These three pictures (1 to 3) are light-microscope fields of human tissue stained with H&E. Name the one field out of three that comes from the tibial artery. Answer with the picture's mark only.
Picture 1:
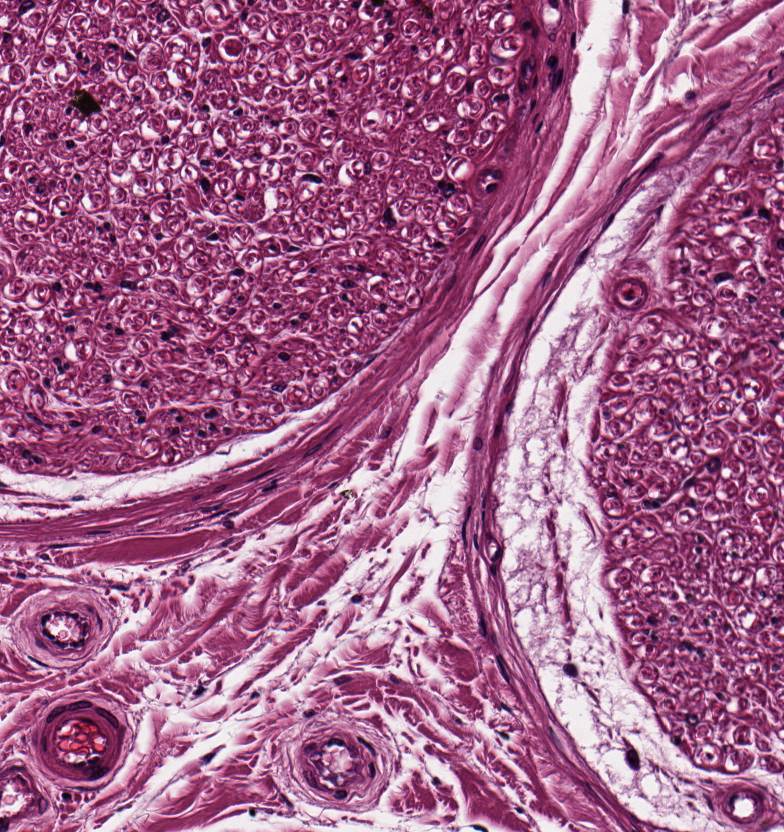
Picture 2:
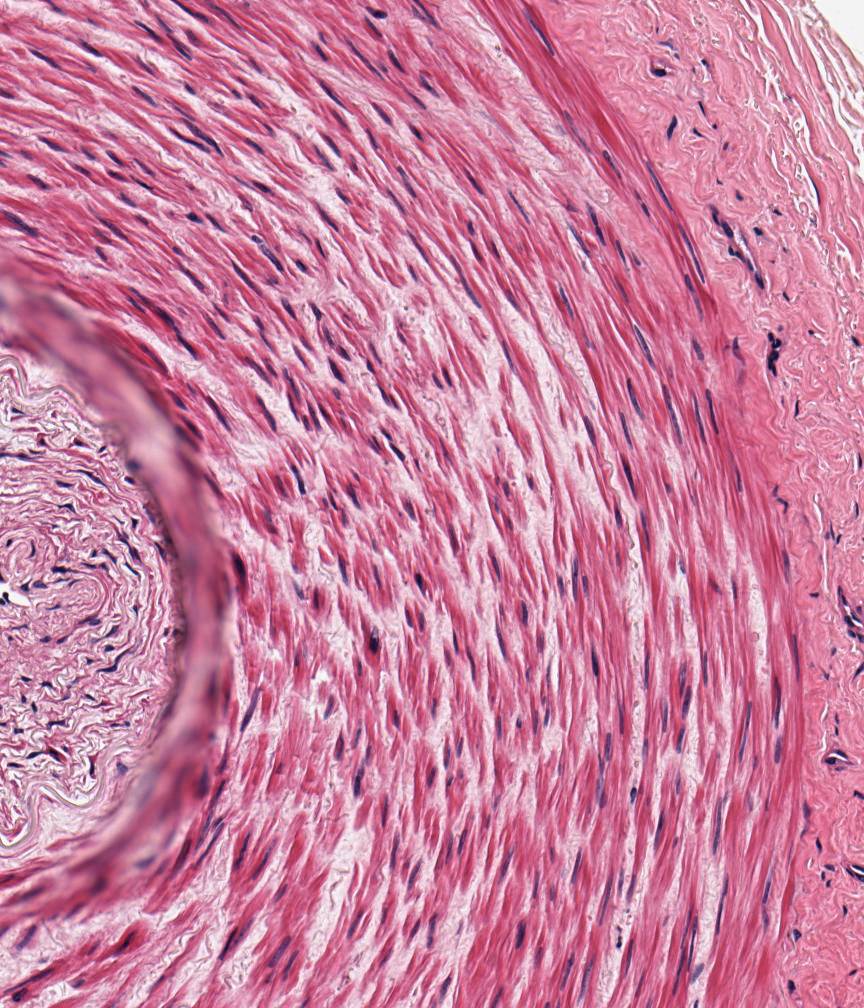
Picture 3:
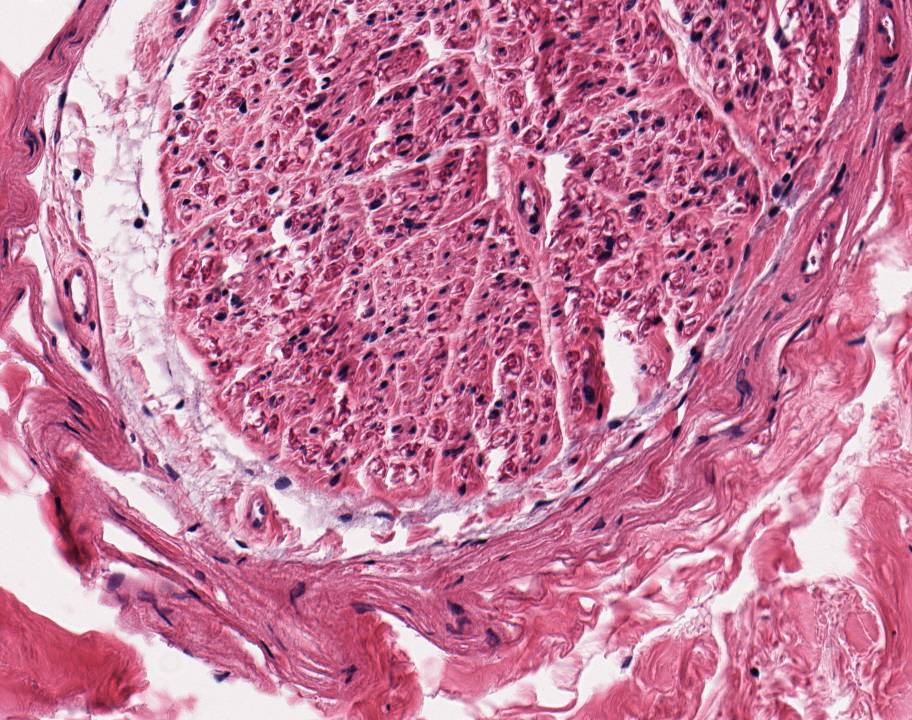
2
